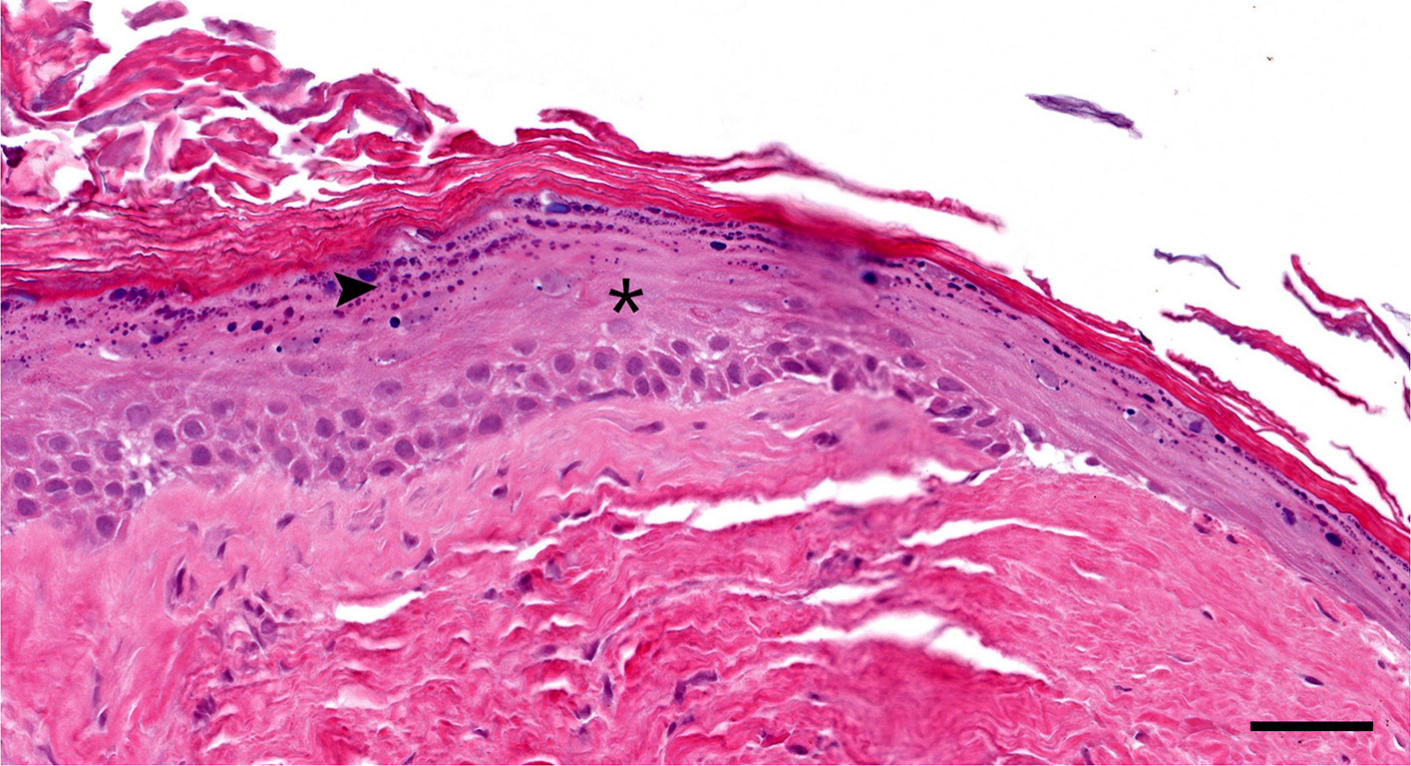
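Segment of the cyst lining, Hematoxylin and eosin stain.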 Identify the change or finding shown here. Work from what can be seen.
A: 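A thick, laminated, bright red layer covers the surface. This layer has no nuclei.
Conclusion: orthokeratotic hyperkeratosis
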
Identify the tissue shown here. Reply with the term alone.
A: Stratified squamous epithelium.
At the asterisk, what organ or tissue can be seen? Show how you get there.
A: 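Stratum spinosum. The asterisk lies in a band of several layers of epithelial cells. These cells have round nuclei and pink cytoplasm. The band lies between the fibrous tissue below and the granular layer above.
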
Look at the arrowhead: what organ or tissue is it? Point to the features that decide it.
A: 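Stratum granulosum. The arrowhead points to cells full of small dark purple granules. These cells lie just beneath the red keratin layer.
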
